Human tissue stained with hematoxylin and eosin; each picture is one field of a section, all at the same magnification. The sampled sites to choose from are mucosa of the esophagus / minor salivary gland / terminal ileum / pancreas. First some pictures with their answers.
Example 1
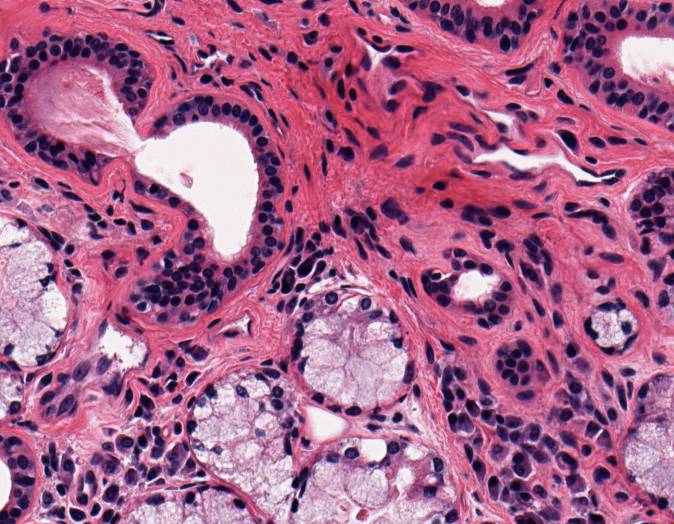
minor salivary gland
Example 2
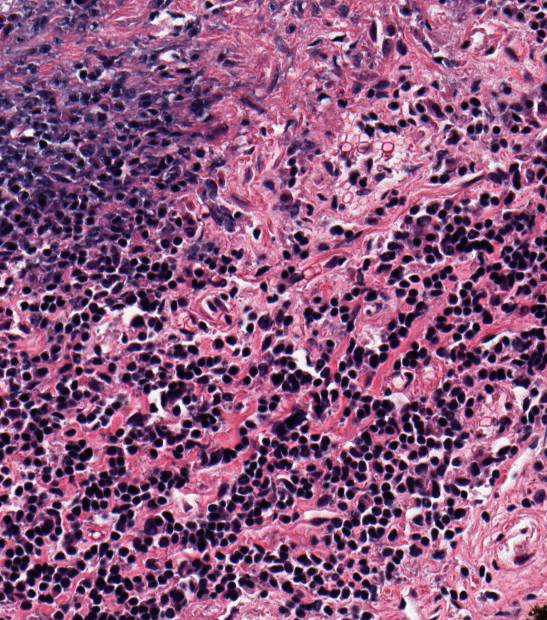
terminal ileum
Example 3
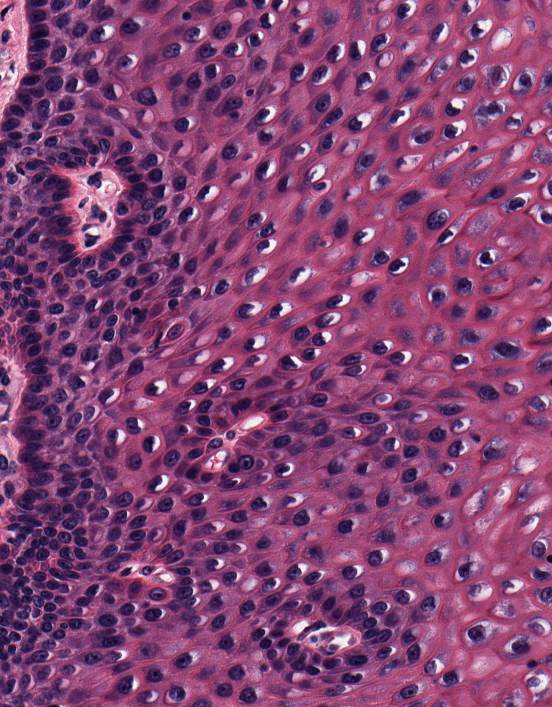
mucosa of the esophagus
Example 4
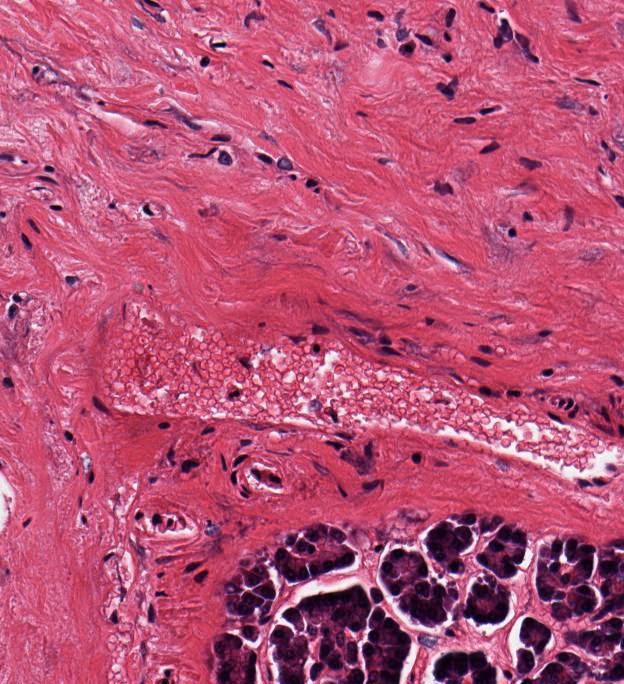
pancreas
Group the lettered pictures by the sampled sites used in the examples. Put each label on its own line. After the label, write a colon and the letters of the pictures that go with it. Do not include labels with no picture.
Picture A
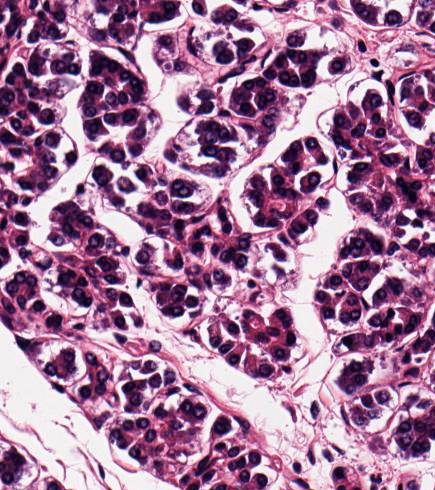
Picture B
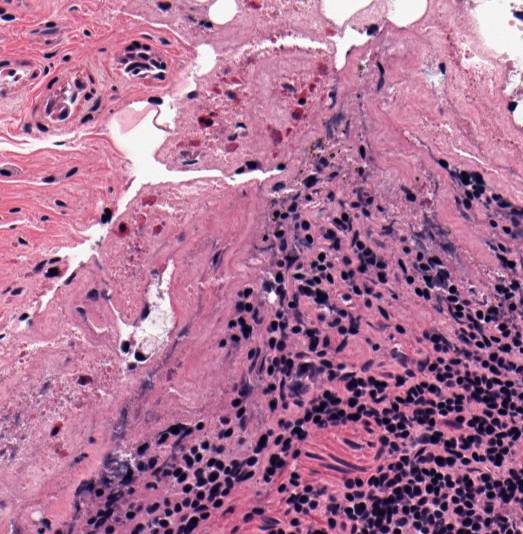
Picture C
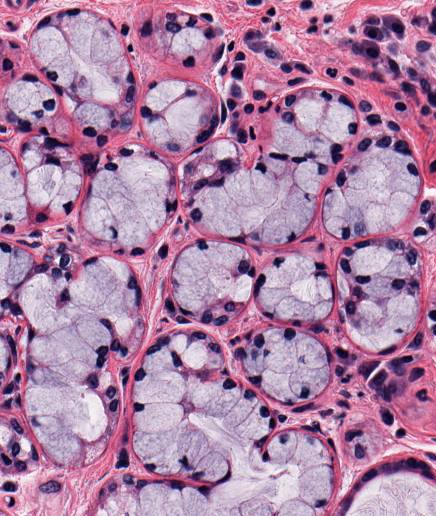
minor salivary gland: C
terminal ileum: B
pancreas: A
